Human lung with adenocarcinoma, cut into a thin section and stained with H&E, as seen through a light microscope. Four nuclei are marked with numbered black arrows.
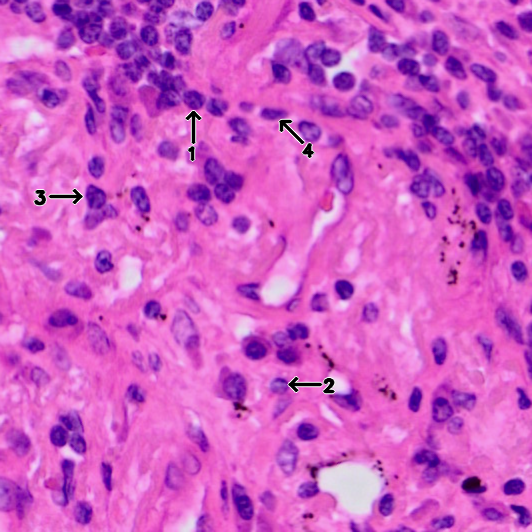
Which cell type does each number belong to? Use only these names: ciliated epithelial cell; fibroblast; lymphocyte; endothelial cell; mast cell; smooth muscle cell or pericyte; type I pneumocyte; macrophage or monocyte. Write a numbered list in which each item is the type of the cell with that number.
1. lymphocyte
2. mast cell
3. lymphocyte
4. lymphocyte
